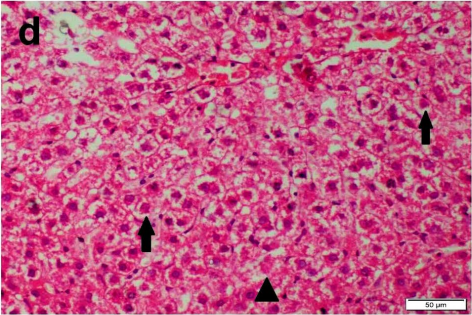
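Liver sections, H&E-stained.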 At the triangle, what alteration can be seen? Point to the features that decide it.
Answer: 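Near the triangle the tissue is intensely red with cell outlines poorly defined. That points to this answer: necrosis.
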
